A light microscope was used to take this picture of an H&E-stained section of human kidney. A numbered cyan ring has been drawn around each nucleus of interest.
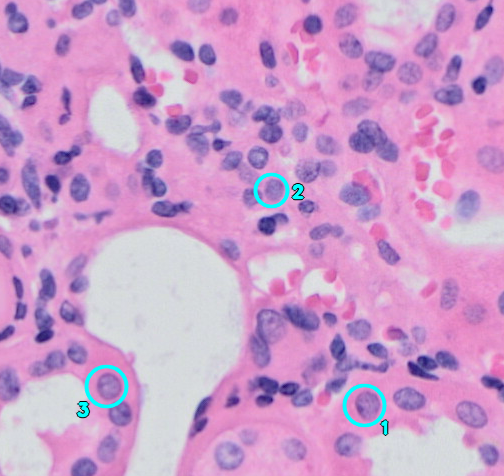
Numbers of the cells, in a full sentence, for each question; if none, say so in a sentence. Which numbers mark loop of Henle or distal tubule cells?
No loop of Henle or distal tubule cells are present among the cells marked with numbers.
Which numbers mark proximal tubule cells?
Cell 1 is a proximal tubule cell, while every other numbered cell is not.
